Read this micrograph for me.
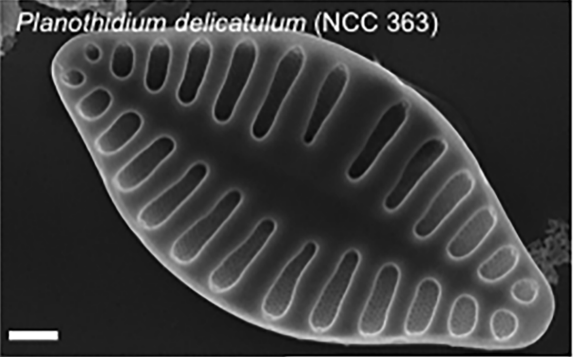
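This scanning electron micrograph shows a single diatom valve seen face-on, lanceolate in outline with bluntly rounded ends. The surface is divided by strong transverse ribs into a row of elongated chambers on each side. The chambers lengthen toward the middle of the valve and shorten to small rounded openings near the ends. A smooth, unornamented axial area runs lengthwise down the centre between the two rows. Within the chambers a finer texture of tiny pores can be made out.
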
